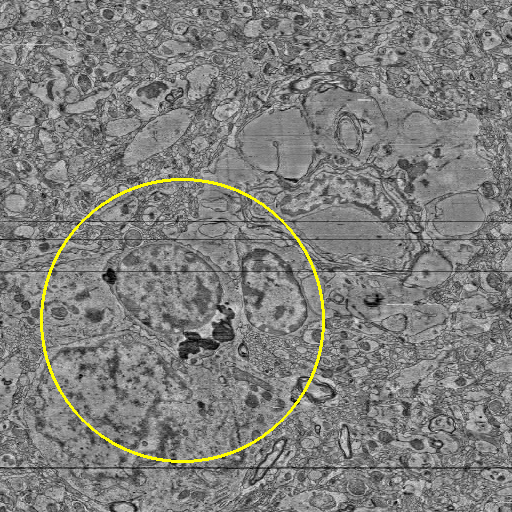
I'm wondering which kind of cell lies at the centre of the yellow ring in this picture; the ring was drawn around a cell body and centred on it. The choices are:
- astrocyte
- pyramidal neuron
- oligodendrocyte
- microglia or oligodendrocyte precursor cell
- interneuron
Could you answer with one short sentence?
At the centre of the ring lies an oligodendrocyte.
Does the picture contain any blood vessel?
Yes, one shows.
